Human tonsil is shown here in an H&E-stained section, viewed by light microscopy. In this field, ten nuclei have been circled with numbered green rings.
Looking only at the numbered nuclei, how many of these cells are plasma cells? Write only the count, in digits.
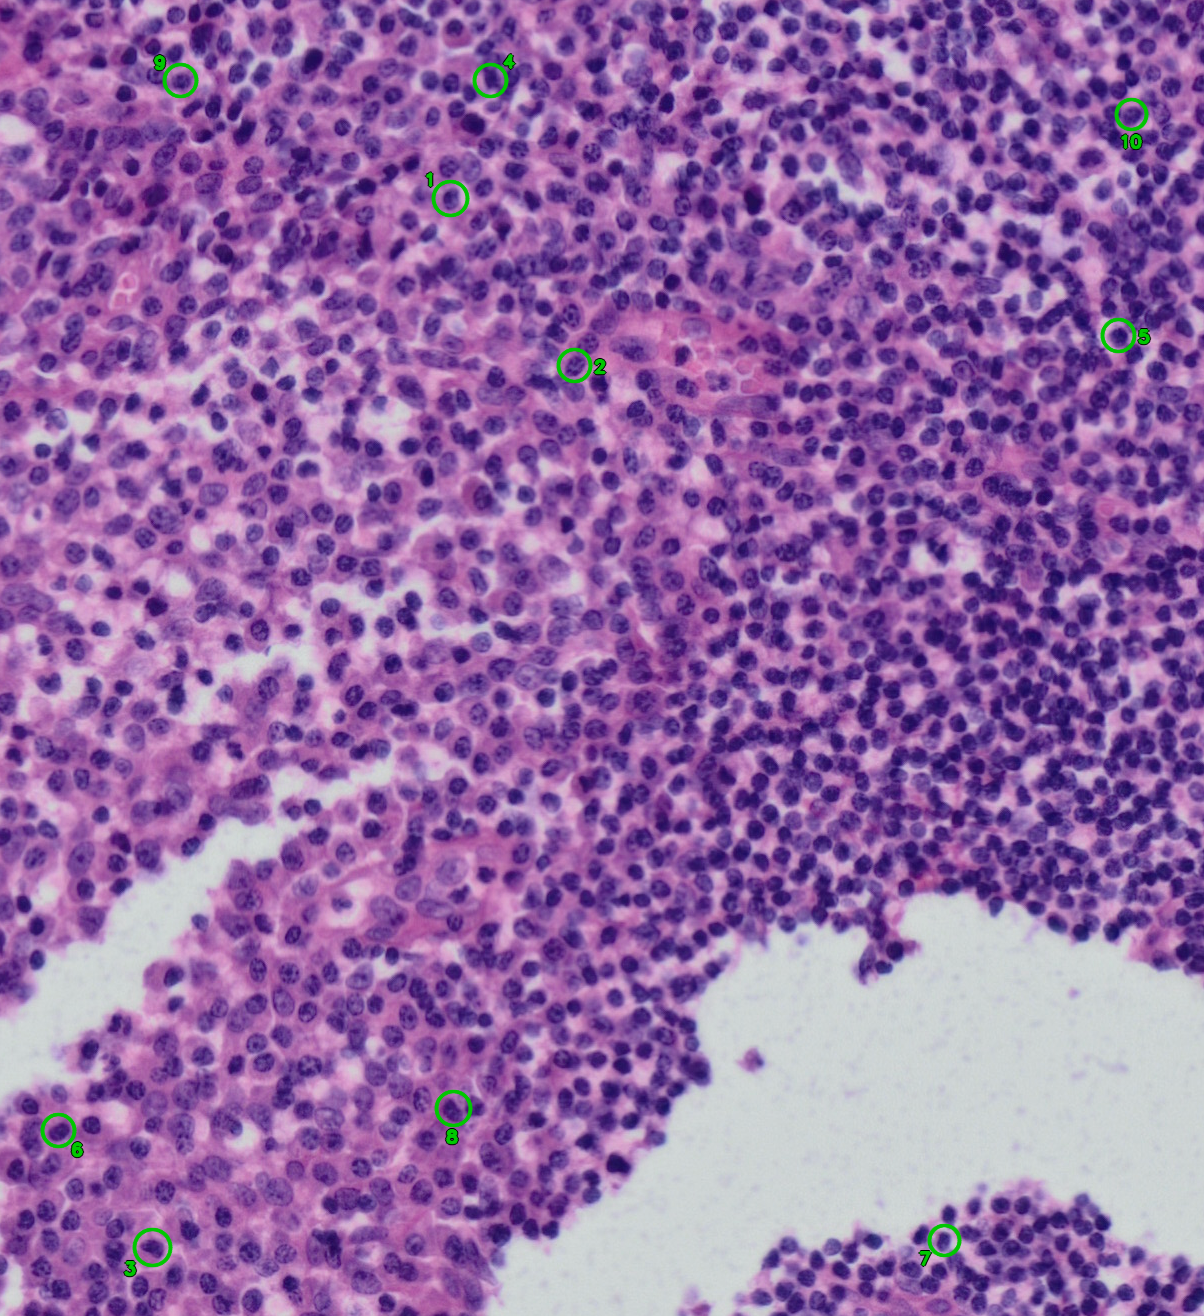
6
